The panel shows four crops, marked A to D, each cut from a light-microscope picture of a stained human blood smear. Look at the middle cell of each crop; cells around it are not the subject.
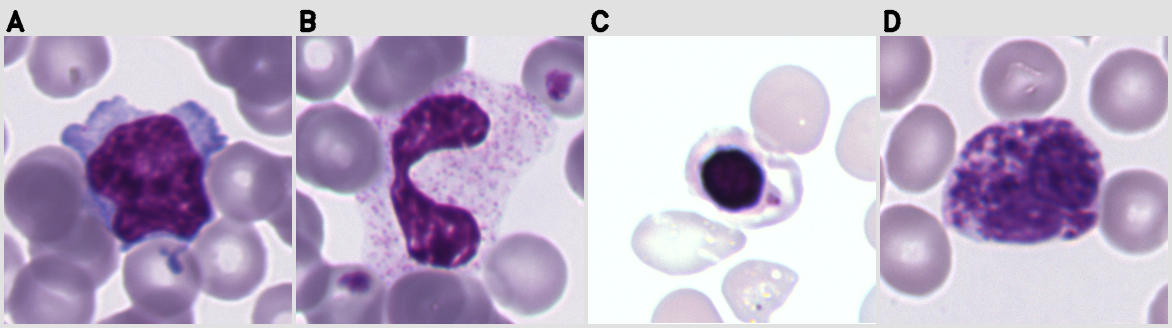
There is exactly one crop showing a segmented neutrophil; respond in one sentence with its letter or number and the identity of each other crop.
Regarding crop B, it shows a segmented neutrophil, while crop A is a typical lymphocyte, crop C is a normoblast and crop D is a basophil.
